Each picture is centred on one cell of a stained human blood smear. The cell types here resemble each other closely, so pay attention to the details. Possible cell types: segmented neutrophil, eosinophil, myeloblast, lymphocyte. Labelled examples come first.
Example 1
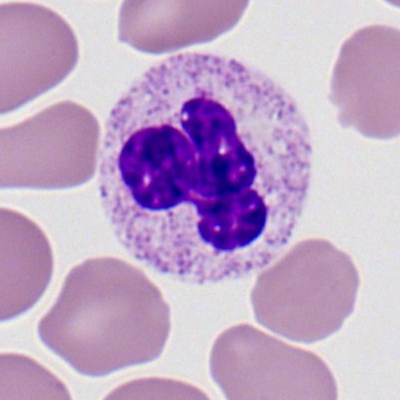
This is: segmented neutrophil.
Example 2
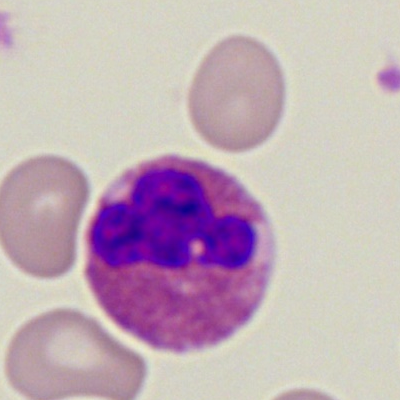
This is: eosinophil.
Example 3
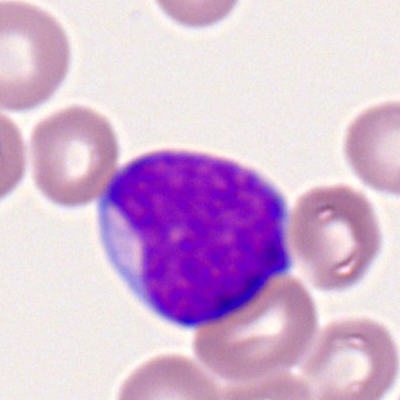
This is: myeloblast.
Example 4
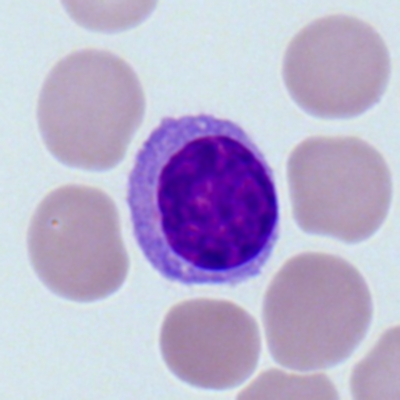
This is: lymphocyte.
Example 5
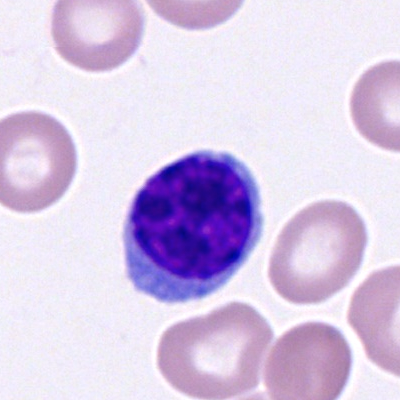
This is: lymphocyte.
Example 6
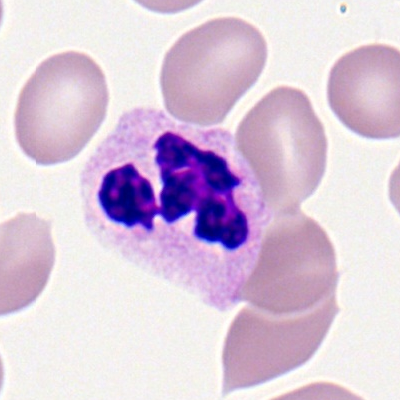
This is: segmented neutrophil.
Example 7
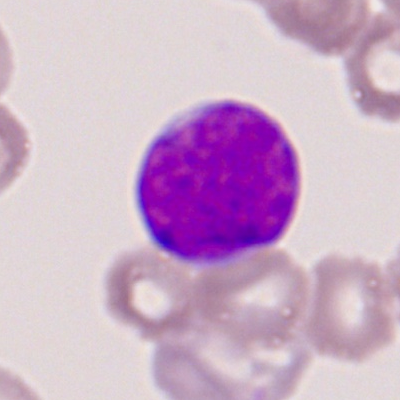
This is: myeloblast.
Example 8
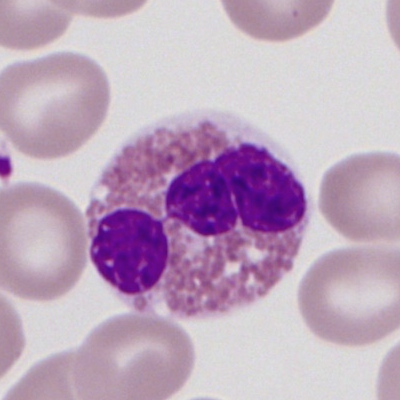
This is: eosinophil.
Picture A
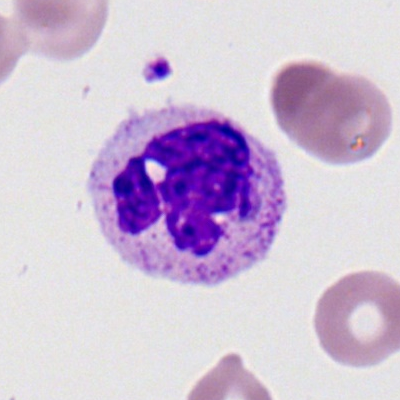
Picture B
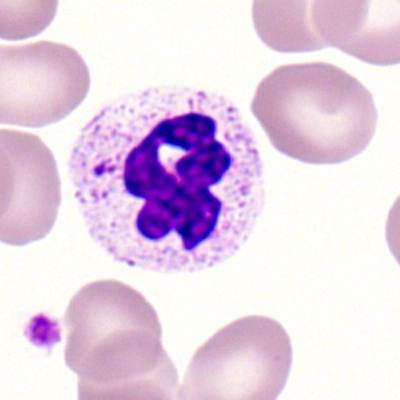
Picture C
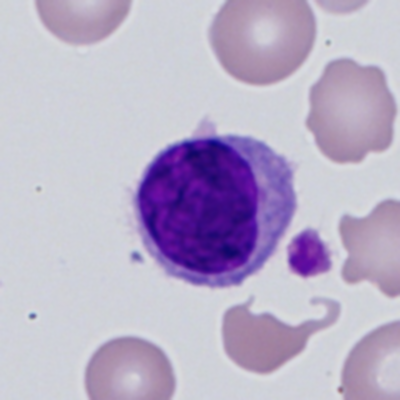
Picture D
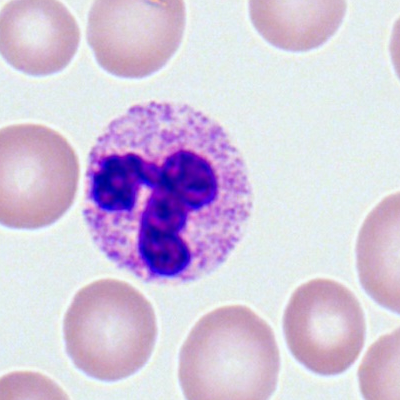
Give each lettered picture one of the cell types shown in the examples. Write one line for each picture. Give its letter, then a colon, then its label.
A: segmented neutrophil.
B: segmented neutrophil.
C: lymphocyte.
D: segmented neutrophil.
